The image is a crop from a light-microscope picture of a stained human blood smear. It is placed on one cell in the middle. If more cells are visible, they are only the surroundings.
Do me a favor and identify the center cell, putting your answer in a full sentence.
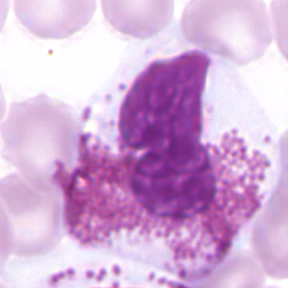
Framed in the middle of the crop is an eosinophil.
